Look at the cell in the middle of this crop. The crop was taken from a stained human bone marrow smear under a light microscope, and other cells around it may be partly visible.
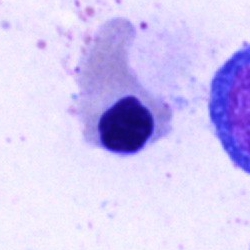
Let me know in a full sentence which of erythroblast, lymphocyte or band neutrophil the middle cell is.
In the center of this field lies an erythroblast.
